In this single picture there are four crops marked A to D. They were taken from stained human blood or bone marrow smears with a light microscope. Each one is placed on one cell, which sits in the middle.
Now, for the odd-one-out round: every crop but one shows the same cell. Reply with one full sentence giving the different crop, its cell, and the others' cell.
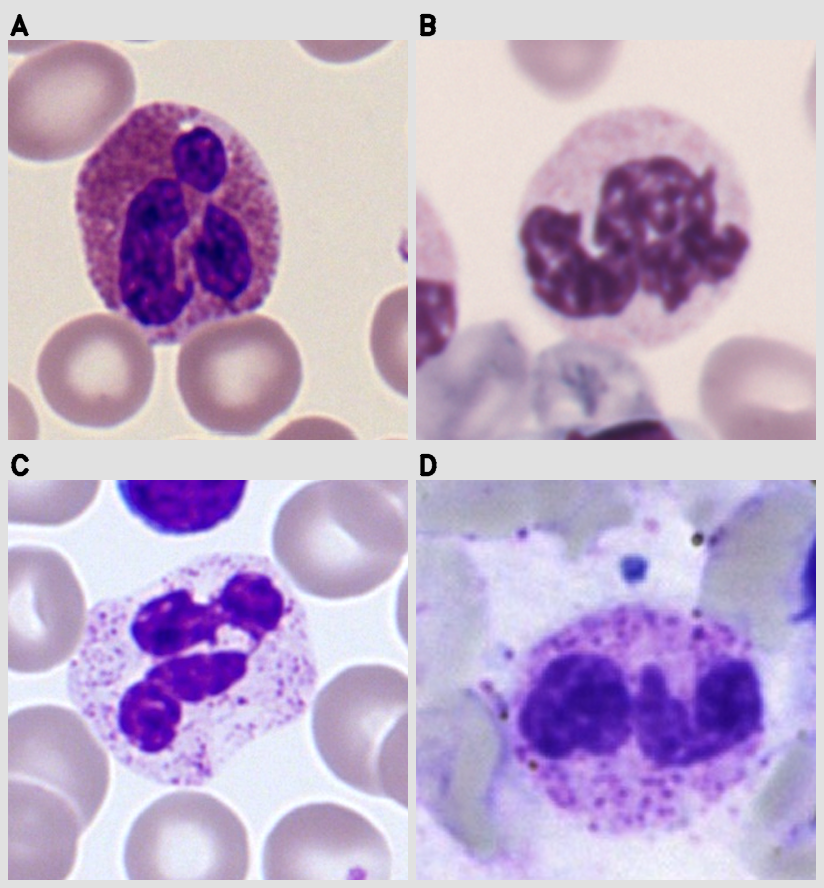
Crop A is an eosinophil, while the rest of the set consists of neutrophils.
